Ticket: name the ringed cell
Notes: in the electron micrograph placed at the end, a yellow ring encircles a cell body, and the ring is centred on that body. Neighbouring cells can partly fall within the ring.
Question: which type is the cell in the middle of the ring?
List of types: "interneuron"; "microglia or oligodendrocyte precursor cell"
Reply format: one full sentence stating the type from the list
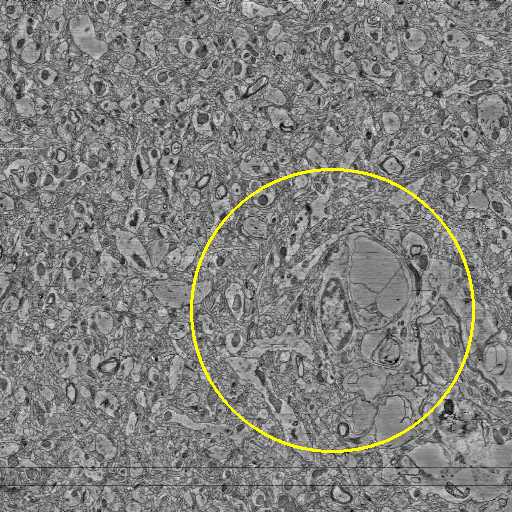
The cell sitting at the centre of the yellow ring is a microglial cell or oligodendrocyte precursor cell.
